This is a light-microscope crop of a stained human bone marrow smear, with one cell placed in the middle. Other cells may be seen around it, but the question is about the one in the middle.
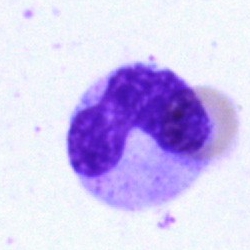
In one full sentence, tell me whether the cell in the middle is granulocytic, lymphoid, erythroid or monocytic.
The central cell of this crop is identified as belonging to the granulocytic lineage.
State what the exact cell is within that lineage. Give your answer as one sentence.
As for the cell in the middle, it is a band neutrophil.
